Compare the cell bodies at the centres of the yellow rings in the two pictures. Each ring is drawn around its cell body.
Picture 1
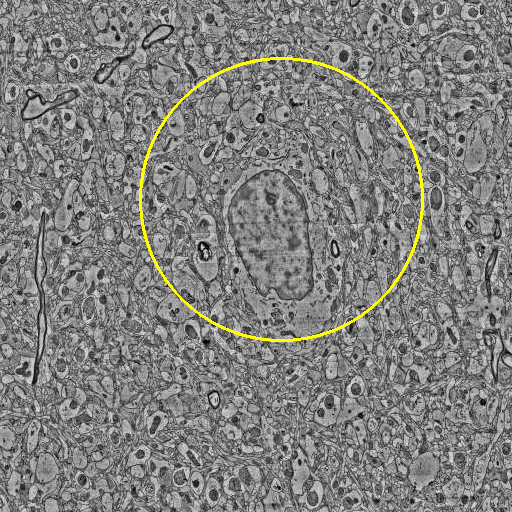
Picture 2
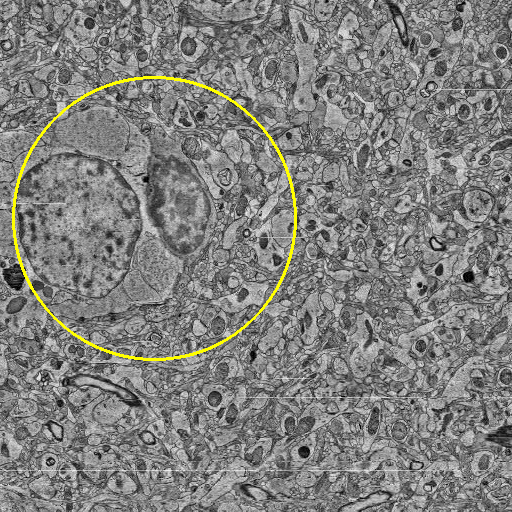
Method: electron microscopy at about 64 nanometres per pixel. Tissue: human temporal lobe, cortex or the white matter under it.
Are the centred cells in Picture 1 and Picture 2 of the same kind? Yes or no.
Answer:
no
